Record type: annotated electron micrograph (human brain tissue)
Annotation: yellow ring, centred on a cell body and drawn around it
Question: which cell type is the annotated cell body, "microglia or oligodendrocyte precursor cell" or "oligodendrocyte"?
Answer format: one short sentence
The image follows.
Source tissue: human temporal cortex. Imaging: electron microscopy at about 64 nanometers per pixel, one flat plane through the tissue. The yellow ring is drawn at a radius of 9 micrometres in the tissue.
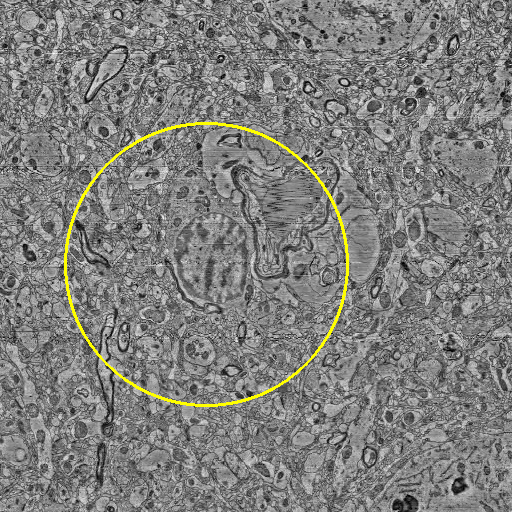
The annotated cell body is that of an oligodendrocyte.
